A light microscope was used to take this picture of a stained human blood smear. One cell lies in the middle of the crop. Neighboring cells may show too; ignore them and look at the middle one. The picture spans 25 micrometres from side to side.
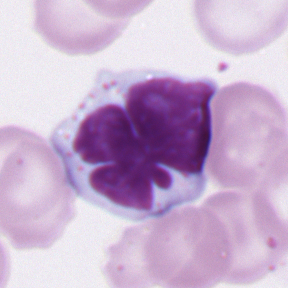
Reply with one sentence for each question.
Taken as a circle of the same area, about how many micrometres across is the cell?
It measures about 14 micrometres across.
